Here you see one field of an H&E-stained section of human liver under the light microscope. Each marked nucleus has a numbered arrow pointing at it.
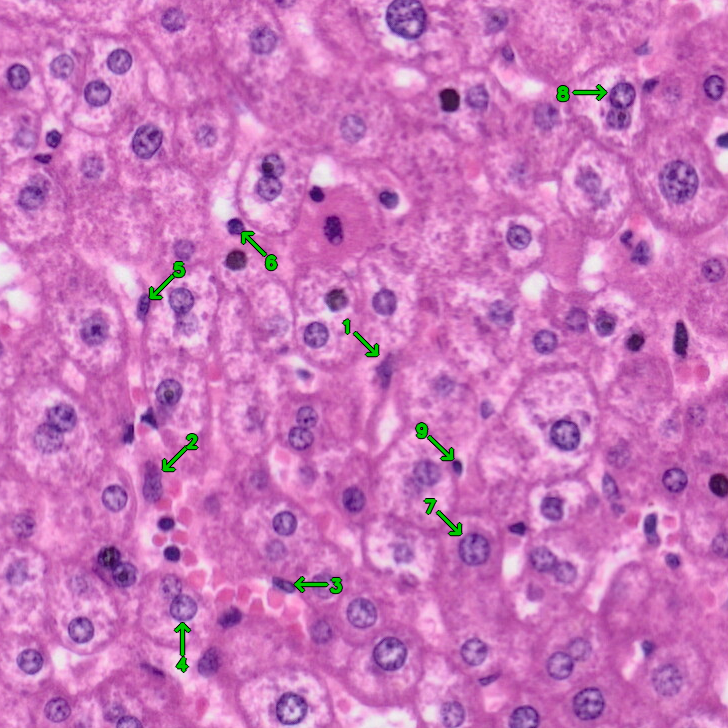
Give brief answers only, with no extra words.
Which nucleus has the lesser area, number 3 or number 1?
3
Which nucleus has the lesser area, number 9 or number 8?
9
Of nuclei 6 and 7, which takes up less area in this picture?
6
